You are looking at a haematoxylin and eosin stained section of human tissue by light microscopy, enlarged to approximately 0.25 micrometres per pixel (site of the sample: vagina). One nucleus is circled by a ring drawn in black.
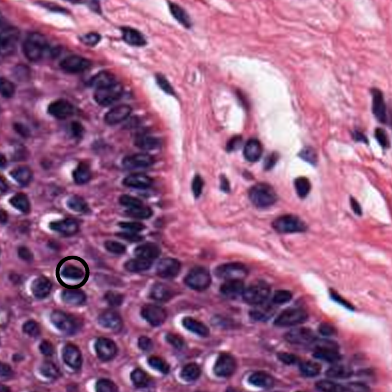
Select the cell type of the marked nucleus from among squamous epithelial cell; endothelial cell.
squamous epithelial cell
